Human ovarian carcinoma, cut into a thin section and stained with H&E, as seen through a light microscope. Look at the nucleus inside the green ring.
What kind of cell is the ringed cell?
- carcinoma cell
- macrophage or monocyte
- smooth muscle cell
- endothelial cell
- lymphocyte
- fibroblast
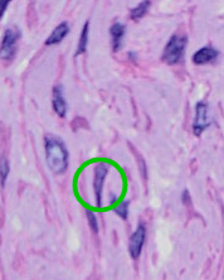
fibroblast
